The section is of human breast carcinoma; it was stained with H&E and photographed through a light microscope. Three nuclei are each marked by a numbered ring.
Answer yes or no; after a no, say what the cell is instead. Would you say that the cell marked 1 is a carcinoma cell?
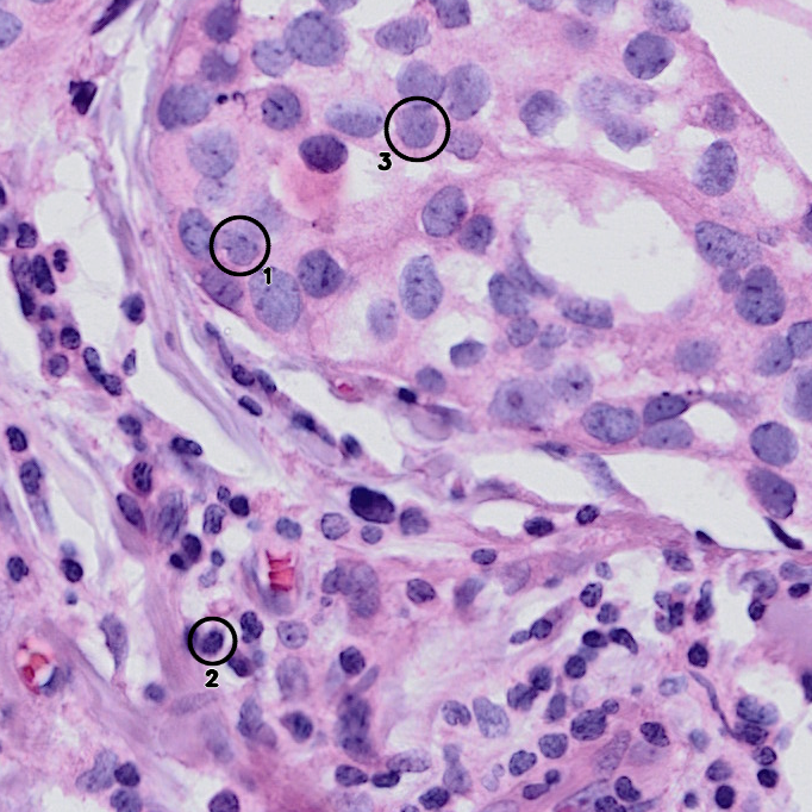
Yes.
